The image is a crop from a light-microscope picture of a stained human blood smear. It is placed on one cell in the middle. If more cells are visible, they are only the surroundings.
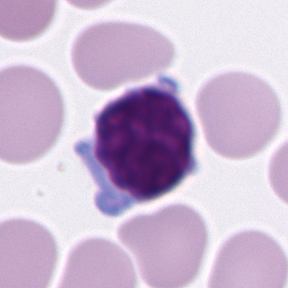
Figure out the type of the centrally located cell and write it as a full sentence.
The cell nearest the centre of this crop is a lymphocyte.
